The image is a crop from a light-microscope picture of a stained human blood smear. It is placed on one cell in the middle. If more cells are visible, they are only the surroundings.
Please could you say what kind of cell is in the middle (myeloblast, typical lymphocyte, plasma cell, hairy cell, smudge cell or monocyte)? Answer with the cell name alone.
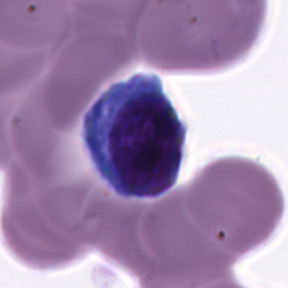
plasma cell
